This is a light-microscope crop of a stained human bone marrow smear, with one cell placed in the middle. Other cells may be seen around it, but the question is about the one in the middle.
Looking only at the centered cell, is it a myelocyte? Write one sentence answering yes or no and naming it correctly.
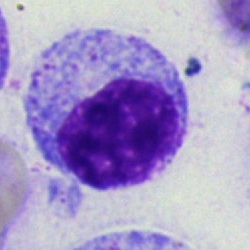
Yes, the cell at the midpoint of the crop is a myelocyte.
